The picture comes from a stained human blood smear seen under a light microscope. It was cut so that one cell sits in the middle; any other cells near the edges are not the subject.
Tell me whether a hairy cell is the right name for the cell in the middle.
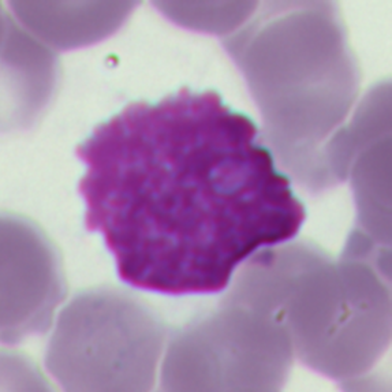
no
